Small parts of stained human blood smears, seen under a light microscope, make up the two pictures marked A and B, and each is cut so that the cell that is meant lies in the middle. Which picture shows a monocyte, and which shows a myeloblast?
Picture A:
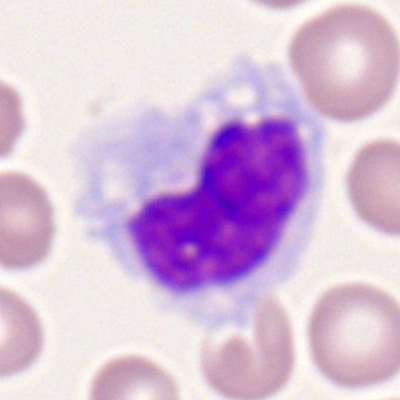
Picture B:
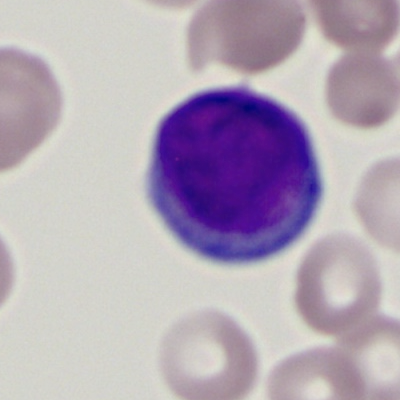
A: monocyte
B: myeloblast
